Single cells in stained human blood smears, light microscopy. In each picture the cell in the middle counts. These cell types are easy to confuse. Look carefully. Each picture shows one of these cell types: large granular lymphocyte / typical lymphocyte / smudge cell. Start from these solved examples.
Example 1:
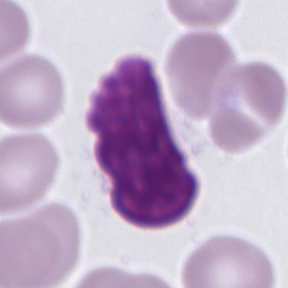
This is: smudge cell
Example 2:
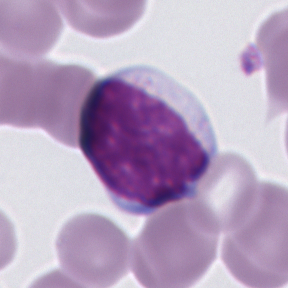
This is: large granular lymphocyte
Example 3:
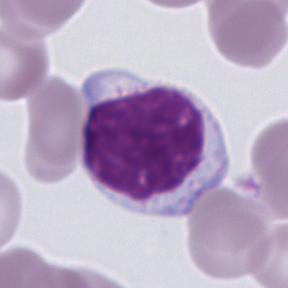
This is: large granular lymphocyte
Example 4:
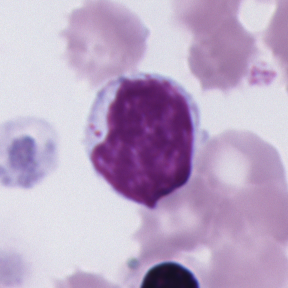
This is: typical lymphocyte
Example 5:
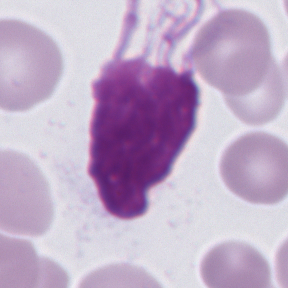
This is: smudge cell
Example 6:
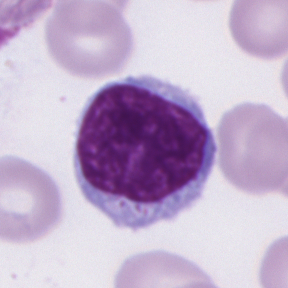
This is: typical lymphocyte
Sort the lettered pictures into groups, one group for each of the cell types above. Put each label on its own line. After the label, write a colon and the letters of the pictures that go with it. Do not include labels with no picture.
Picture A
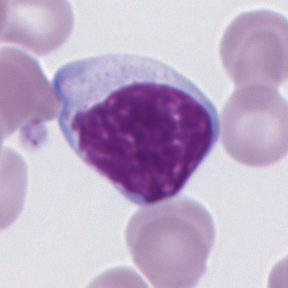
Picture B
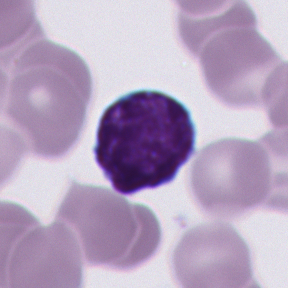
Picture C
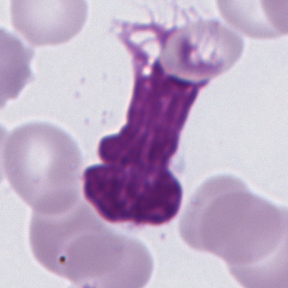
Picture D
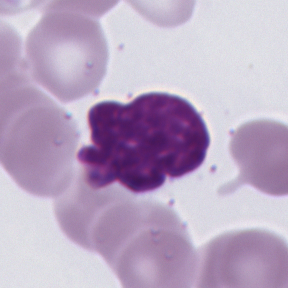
large granular lymphocyte: A
typical lymphocyte: B
smudge cell: C, D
